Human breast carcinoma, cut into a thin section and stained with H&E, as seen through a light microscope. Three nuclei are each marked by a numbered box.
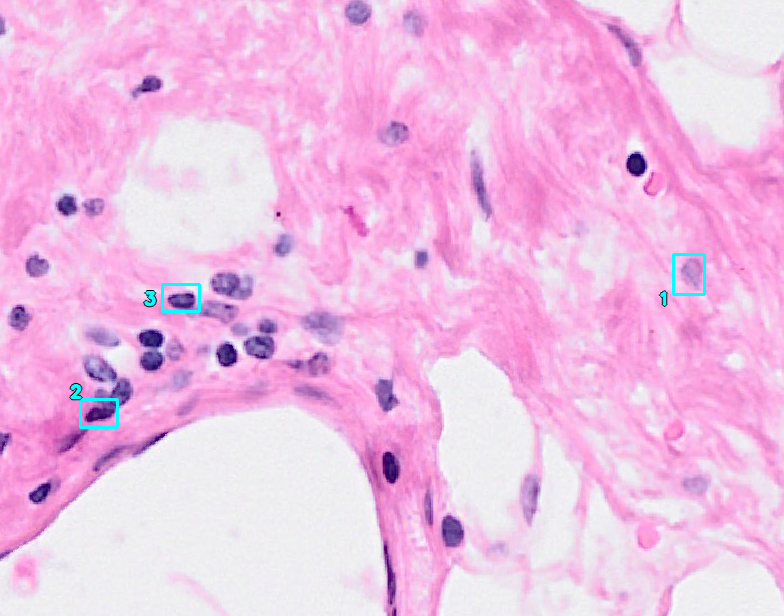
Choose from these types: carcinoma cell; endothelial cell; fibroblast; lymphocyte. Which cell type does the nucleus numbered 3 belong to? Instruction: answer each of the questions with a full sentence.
Of the numbered cells, the one labelled 3 is a lymphocyte.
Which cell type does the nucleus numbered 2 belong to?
The cell assigned the number 2 is a lymphocyte.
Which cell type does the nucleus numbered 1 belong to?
Among the marked nuclei, number 1 belongs to a fibroblast.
